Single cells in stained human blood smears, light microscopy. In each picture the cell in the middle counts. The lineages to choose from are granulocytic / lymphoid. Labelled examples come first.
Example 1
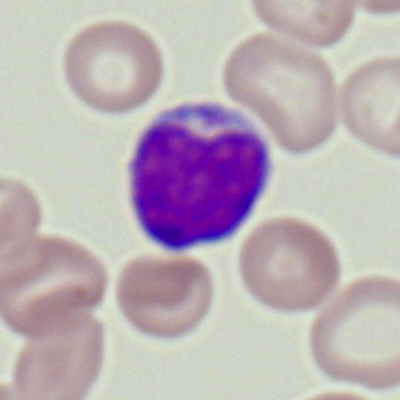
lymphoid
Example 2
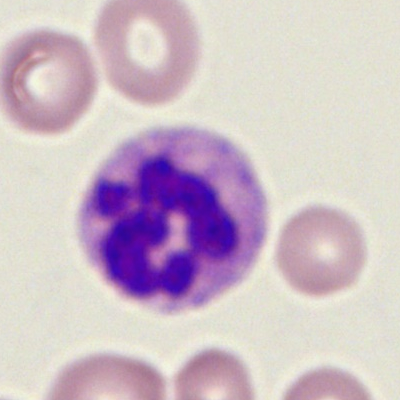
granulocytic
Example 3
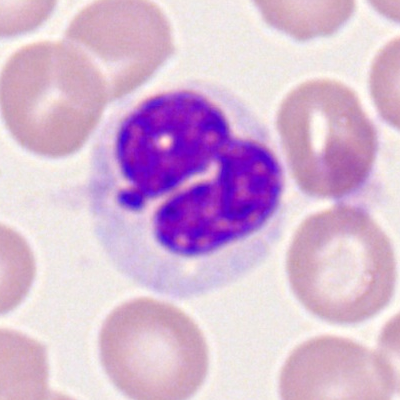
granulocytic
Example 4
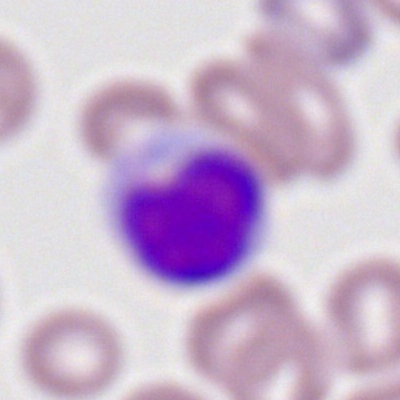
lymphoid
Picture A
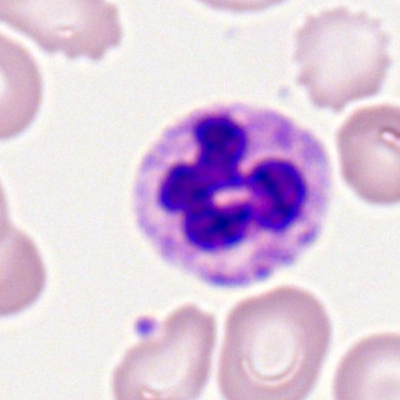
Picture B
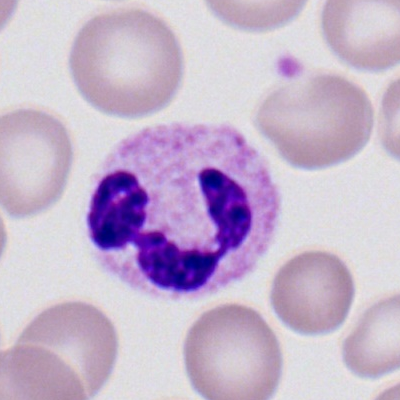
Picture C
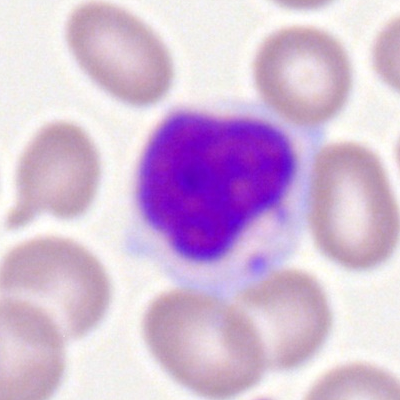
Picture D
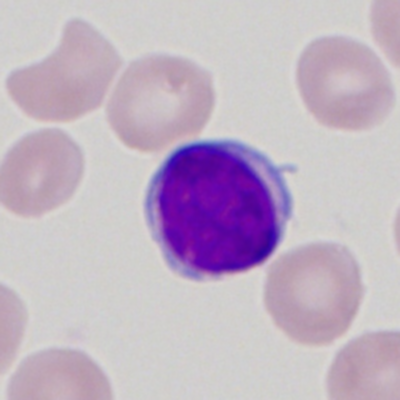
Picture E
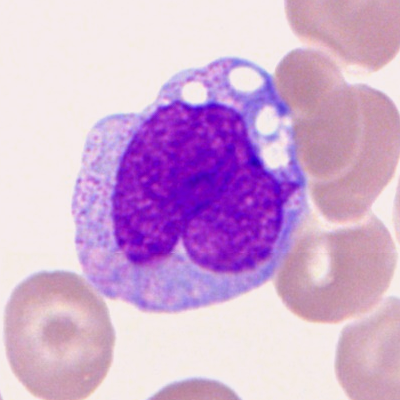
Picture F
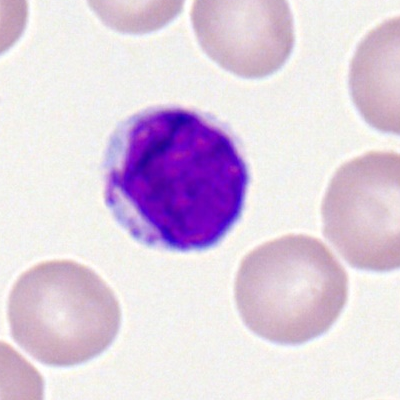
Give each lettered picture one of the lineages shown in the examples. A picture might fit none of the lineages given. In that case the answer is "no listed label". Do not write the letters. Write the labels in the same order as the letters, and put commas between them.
granulocytic, granulocytic, lymphoid, lymphoid, no listed label, lymphoid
